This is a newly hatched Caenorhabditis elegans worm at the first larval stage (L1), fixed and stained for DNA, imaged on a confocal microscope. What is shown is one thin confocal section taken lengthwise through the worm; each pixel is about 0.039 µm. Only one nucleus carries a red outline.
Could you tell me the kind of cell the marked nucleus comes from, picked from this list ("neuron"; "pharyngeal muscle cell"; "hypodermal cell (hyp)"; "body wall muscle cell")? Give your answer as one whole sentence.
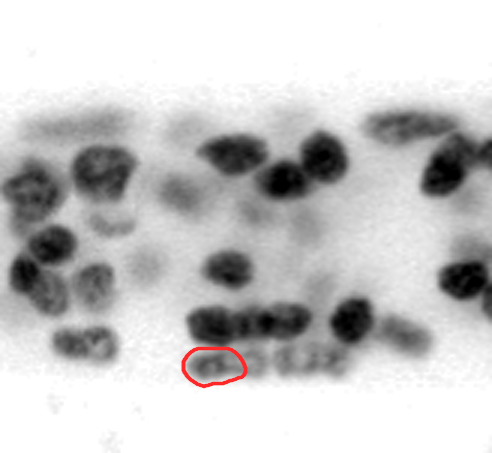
It is the nucleus of a hypodermal cell (hyp).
